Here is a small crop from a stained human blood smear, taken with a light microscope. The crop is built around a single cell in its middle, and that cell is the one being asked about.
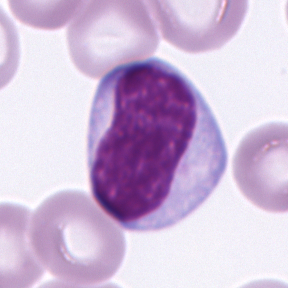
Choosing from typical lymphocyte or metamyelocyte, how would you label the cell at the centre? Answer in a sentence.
Among the cells in view, the one in the middle is a typical lymphocyte.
